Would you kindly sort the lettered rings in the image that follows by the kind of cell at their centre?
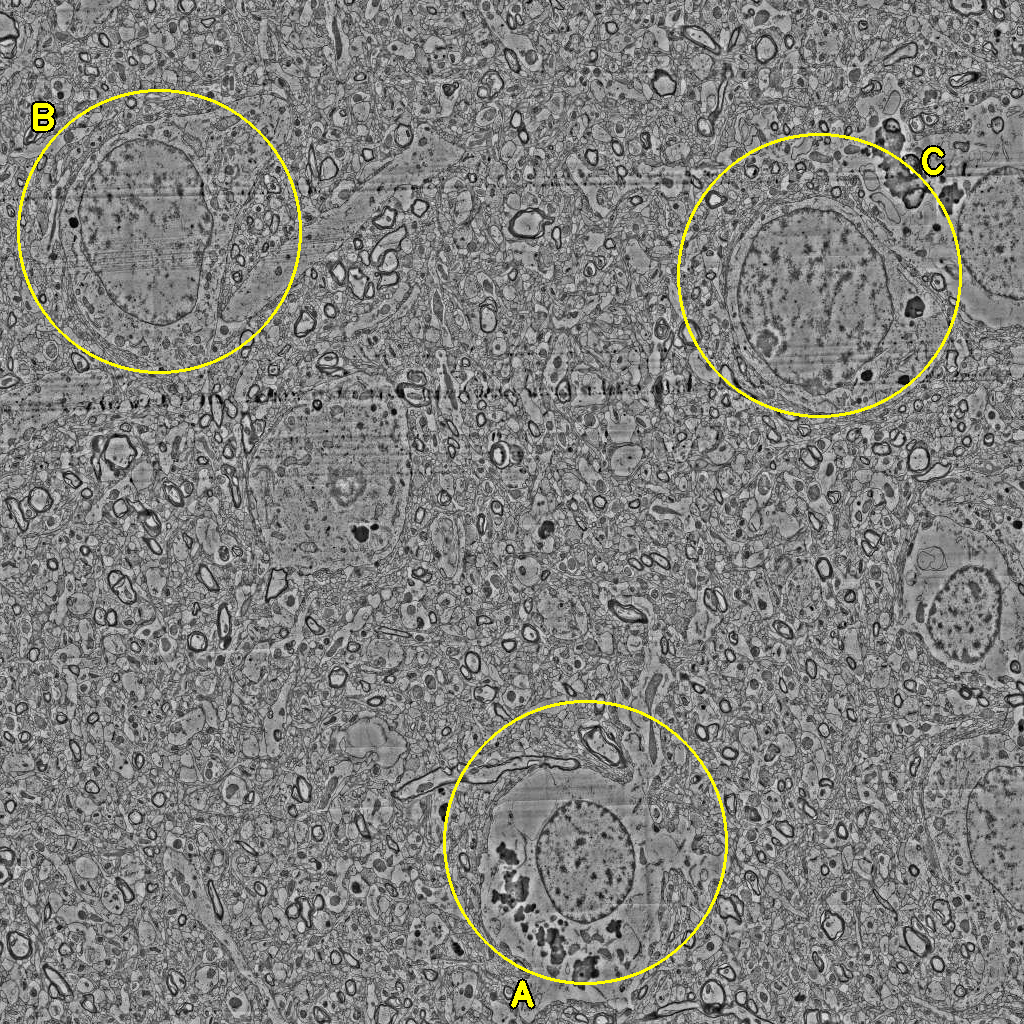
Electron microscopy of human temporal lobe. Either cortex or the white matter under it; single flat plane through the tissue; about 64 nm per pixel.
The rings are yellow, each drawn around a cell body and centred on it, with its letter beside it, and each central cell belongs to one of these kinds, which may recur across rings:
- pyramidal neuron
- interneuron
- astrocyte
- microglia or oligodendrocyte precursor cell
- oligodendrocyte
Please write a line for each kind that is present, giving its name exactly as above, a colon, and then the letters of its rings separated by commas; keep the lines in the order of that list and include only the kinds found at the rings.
pyramidal neuron: B, C
astrocyte: A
